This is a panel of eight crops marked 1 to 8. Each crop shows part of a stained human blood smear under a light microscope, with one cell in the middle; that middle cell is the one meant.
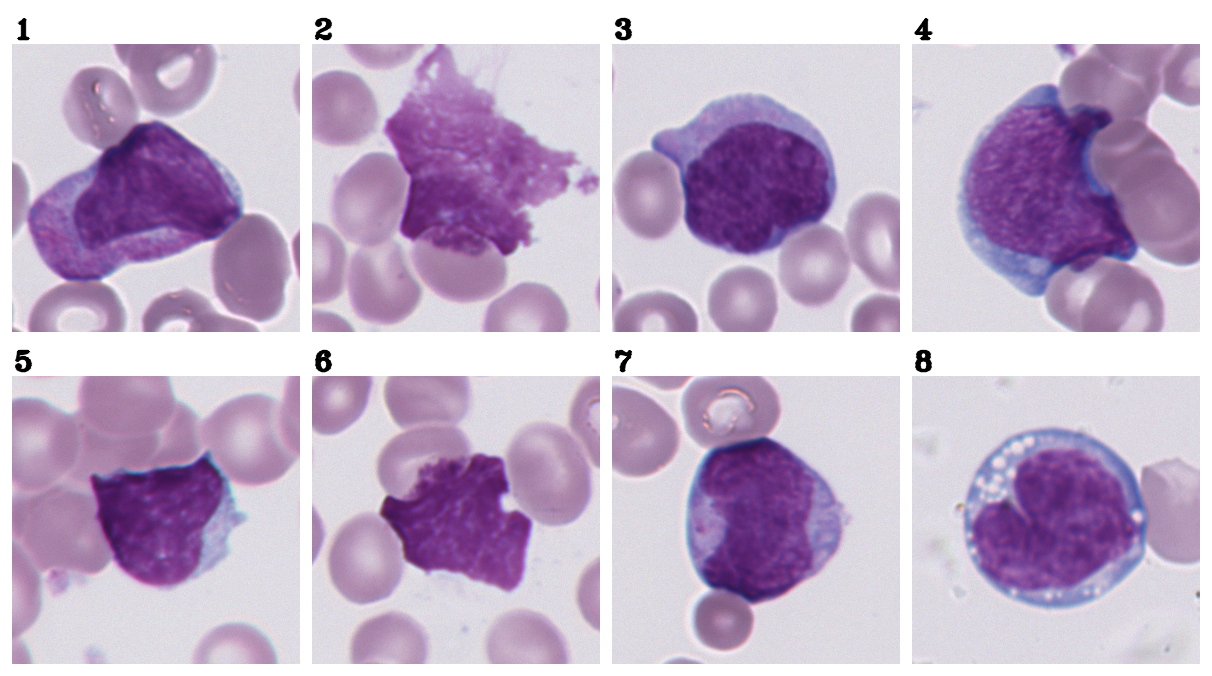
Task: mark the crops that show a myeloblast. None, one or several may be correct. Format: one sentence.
In the series, crops 4 and 8 show myeloblasts.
